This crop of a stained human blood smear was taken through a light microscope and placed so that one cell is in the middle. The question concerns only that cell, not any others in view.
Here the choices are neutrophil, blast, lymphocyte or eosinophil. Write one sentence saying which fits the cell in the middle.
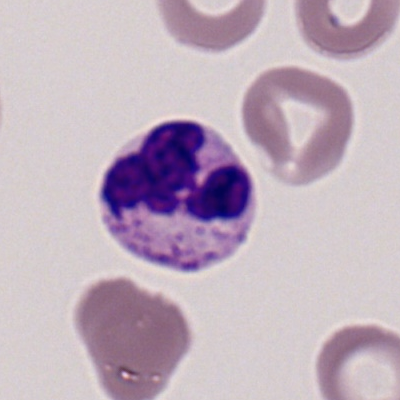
Answering briefly, the cell in the middle is a neutrophil.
